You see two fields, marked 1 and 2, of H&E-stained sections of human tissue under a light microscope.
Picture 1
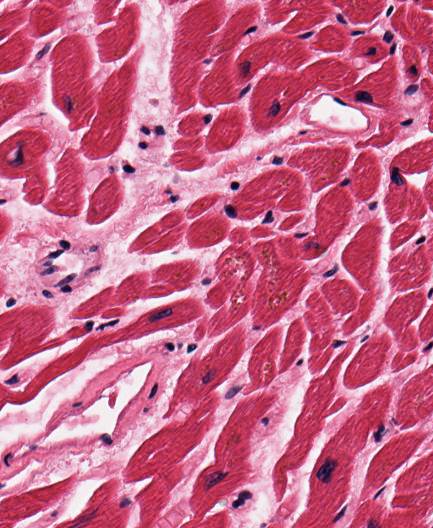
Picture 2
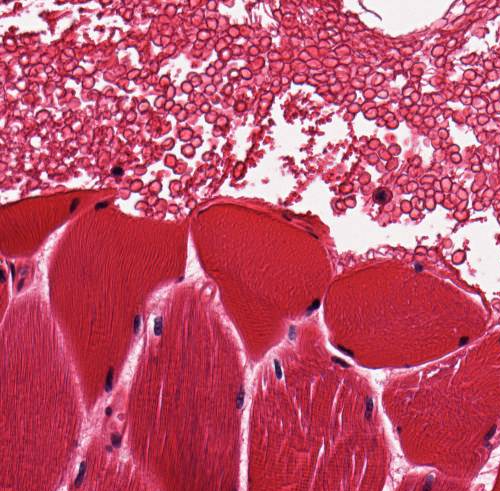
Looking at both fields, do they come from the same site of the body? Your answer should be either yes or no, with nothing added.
no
